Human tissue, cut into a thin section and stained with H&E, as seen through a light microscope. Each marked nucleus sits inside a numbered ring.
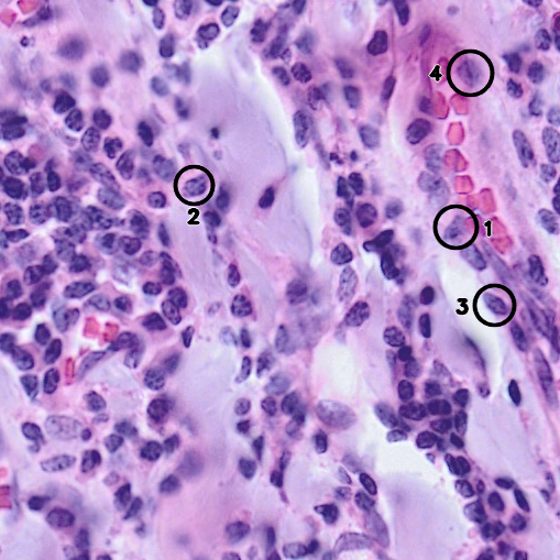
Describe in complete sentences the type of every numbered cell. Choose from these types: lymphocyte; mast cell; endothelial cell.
Cell 1 is an endothelial cell, cell 2 is a mast cell, cell 3 is a lymphocyte and cell 4 is an endothelial cell.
